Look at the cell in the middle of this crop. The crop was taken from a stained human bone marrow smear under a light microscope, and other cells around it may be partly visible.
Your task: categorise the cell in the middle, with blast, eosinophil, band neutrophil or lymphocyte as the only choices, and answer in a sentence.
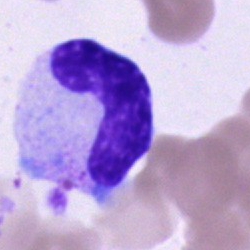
Answering briefly, the cell in the middle is a band neutrophil.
